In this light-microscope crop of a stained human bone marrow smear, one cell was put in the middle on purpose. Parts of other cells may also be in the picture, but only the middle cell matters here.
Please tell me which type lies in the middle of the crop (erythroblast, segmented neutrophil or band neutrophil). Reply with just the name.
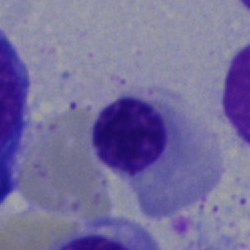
erythroblast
